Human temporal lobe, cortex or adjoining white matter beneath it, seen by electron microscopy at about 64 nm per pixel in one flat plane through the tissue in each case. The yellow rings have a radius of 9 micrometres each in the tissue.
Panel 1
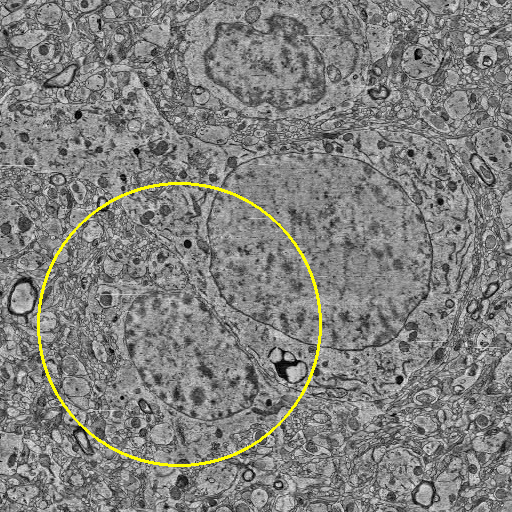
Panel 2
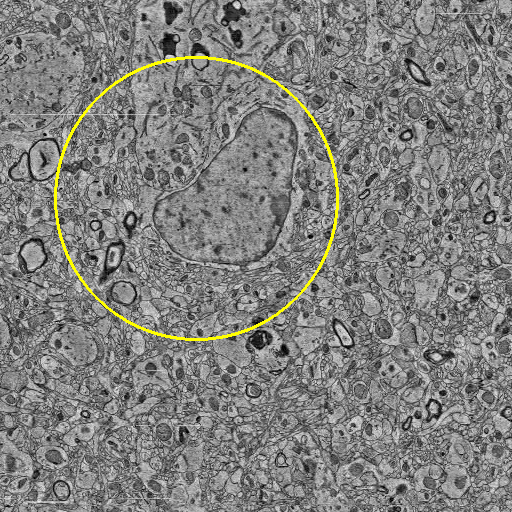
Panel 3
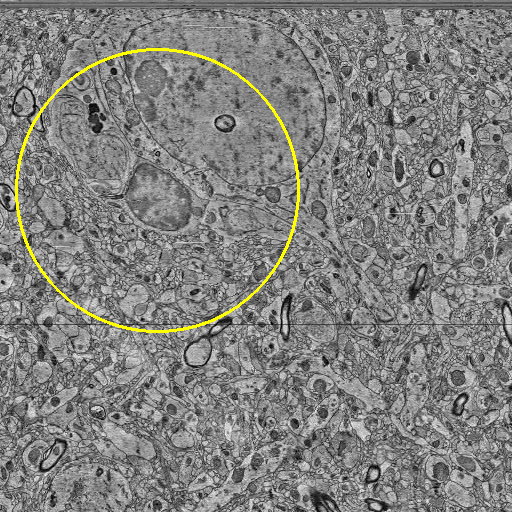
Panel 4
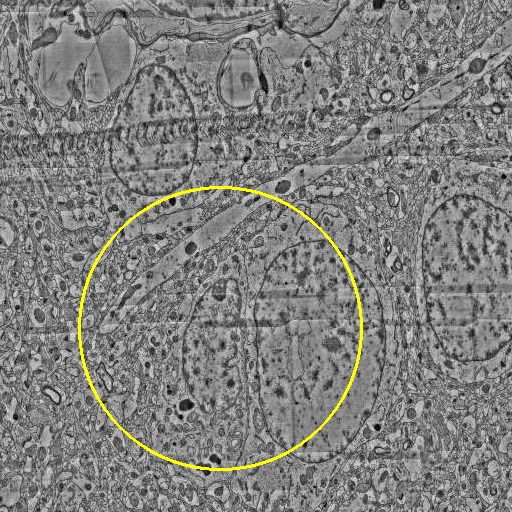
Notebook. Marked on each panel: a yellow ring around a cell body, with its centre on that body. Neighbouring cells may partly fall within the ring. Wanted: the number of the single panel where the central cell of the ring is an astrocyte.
1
